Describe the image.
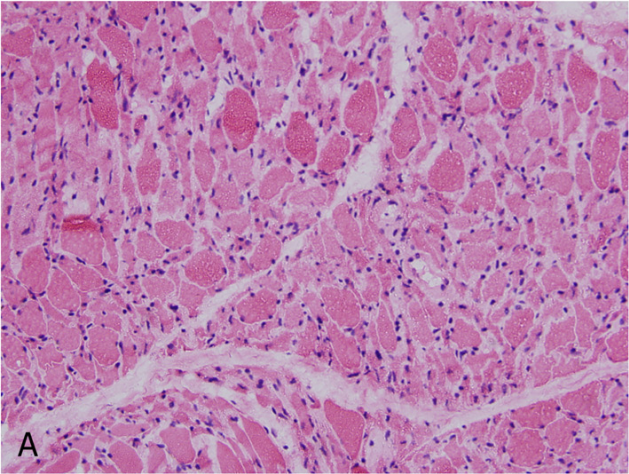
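This is a cross-section of skeletal muscle in which the muscle fibers vary greatly in size, with many small, pale pink, rounded or angular fibers crowded between larger, more deeply pink fibers. Numerous dark purple nuclei lie in the spaces between the fibers, far more than in normal muscle. Pale strands of connective tissue separate groups of fibers, and the regular mosaic of evenly sized fibers is lost, in keeping with fiber necrosis and disarray.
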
